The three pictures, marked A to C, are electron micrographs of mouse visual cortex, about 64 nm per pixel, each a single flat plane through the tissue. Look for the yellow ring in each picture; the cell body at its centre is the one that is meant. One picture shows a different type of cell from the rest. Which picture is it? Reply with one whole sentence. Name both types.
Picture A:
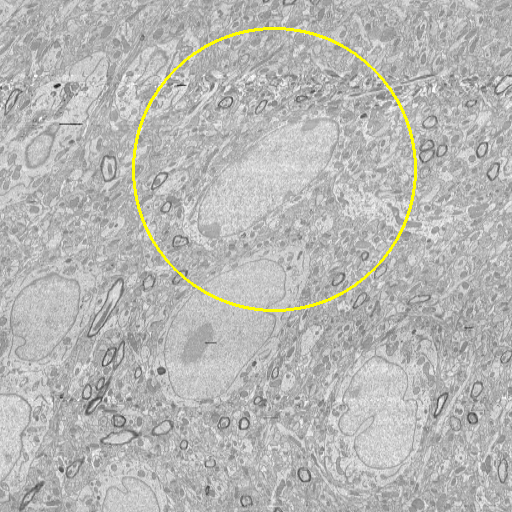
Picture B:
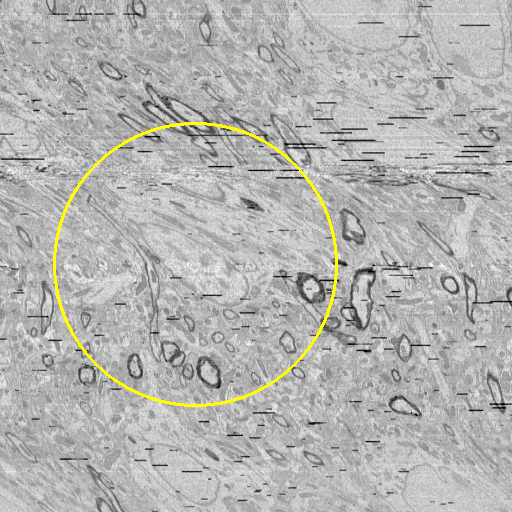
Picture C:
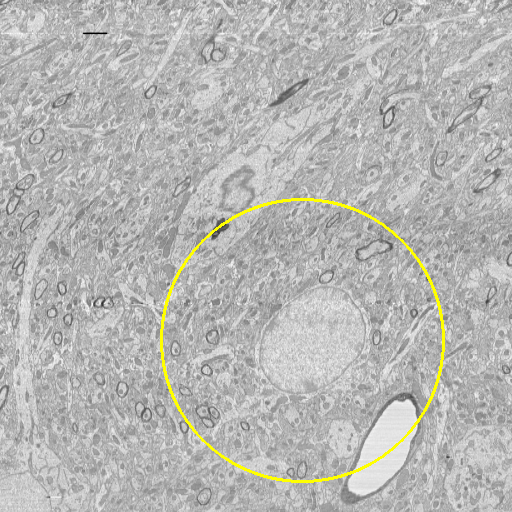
The others show astrocytes, but picture B shows an oligodendrocyte.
